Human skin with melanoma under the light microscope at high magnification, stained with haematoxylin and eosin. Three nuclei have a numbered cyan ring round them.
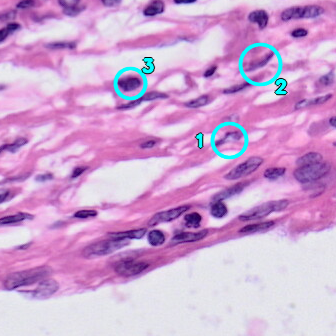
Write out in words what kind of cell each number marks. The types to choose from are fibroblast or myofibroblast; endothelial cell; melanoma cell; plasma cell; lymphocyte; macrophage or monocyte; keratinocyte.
Cell 1 is a fibroblast or myofibroblast, cell 2 is a fibroblast or myofibroblast and cell 3 is a plasma cell.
